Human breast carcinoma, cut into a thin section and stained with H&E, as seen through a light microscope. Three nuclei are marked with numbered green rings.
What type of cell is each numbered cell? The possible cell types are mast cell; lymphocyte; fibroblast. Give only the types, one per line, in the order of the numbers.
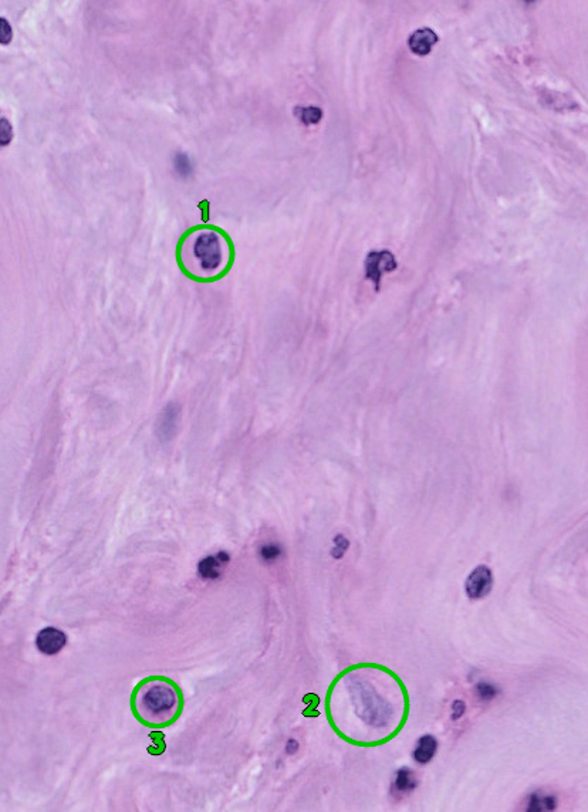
lymphocyte
fibroblast
mast cell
